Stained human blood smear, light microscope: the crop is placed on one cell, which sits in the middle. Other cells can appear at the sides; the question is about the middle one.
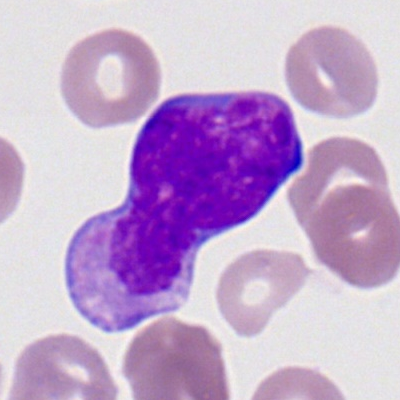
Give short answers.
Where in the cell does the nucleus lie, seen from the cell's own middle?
upper right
